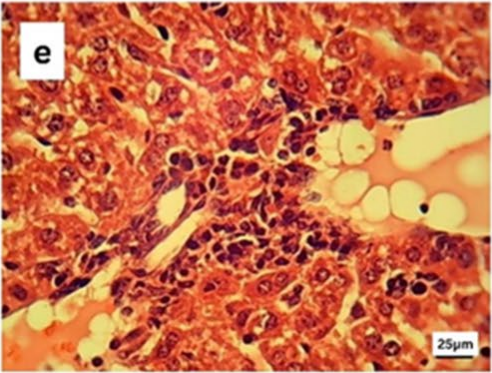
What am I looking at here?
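Liver tissue near a portal area in which a dense infiltrate of mononuclear inflammatory cells crowds between the hepatocytes. The inflammatory cells are small, with round, deeply dark-purple nuclei and scant cytoplasm, and form a packed band beside a vessel lumen filled with pale pink material and clear round spaces. Around them the hepatocytes are polygonal with pink cytoplasm and larger, paler round nuclei, but their cords are less orderly than in normal liver and the spaces between them are widened in places.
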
